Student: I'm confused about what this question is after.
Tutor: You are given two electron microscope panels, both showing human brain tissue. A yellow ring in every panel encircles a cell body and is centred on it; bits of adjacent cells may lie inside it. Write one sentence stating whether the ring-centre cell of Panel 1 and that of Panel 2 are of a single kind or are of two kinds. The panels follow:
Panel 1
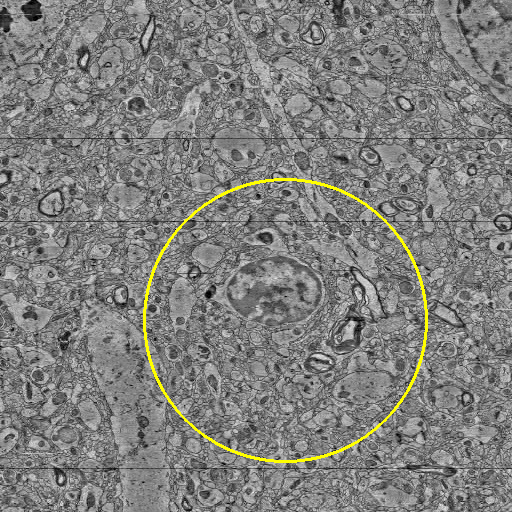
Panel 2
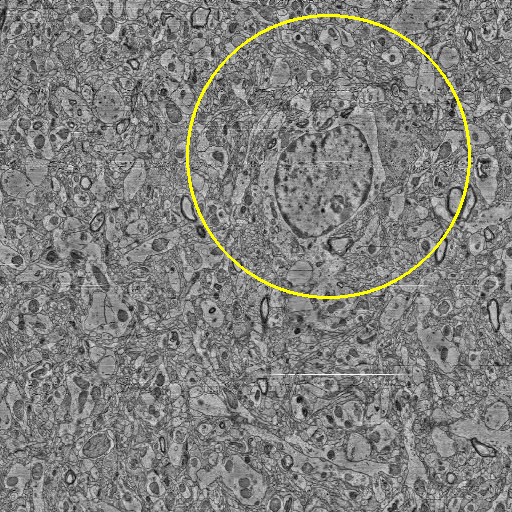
Here, the Panel 1 ring-centre cell and the Panel 2 ring-centre cell are of a single kind.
